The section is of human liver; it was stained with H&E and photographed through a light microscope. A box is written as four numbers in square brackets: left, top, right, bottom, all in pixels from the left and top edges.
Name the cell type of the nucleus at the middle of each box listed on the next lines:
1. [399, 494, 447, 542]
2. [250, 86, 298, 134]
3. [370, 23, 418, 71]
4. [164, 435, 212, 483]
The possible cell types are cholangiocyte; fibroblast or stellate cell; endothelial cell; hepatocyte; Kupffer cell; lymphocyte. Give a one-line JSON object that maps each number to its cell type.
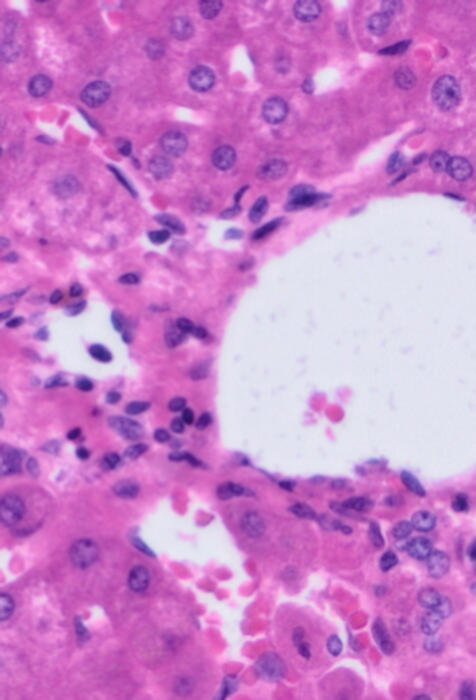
{"1": "cholangiocyte", "2": "hepatocyte", "3": "fibroblast or stellate cell", "4": "fibroblast or stellate cell"}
